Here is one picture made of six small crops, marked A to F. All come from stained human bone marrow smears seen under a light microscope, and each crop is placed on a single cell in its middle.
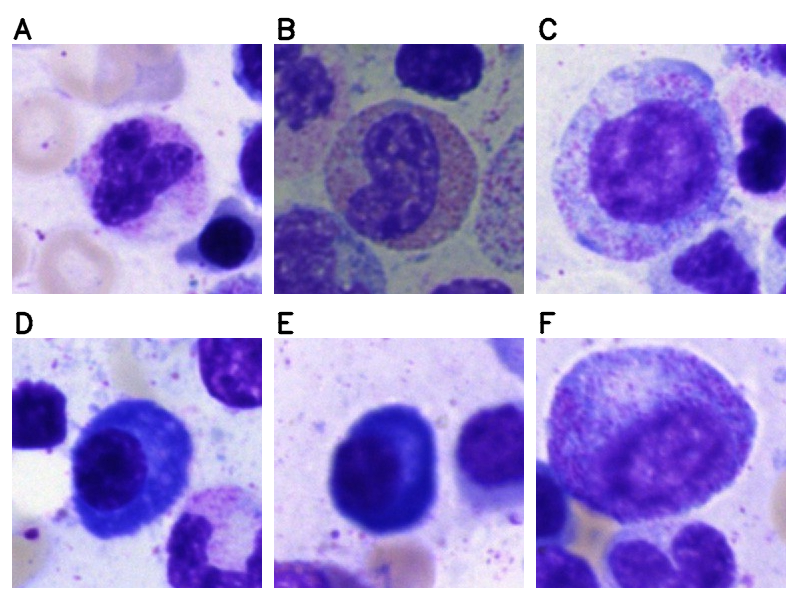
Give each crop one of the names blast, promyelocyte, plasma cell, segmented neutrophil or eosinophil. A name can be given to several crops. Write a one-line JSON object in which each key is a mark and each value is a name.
{"A": "segmented neutrophil", "B": "eosinophil", "C": "promyelocyte", "D": "plasma cell", "E": "plasma cell", "F": "promyelocyte"}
